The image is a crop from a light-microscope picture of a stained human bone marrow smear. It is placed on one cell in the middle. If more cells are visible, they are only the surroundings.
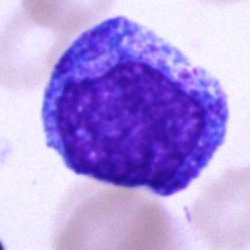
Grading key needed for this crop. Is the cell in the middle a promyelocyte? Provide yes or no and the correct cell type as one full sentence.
Yes, this crop has a promyelocyte at its centre.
